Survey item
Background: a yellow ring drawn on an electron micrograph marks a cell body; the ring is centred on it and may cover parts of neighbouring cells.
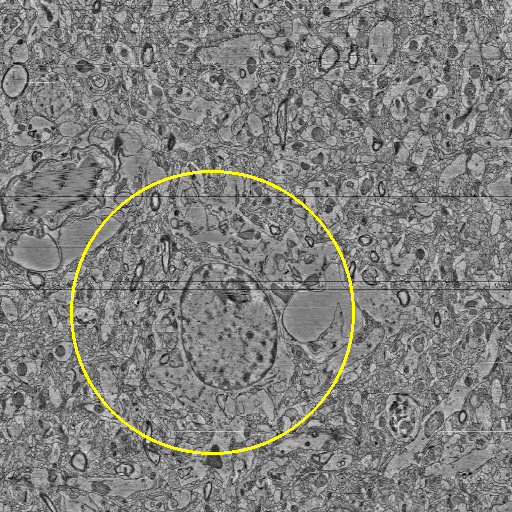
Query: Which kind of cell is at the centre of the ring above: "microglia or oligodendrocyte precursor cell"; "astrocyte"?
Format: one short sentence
The cell in the middle of the ring is an astrocyte.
